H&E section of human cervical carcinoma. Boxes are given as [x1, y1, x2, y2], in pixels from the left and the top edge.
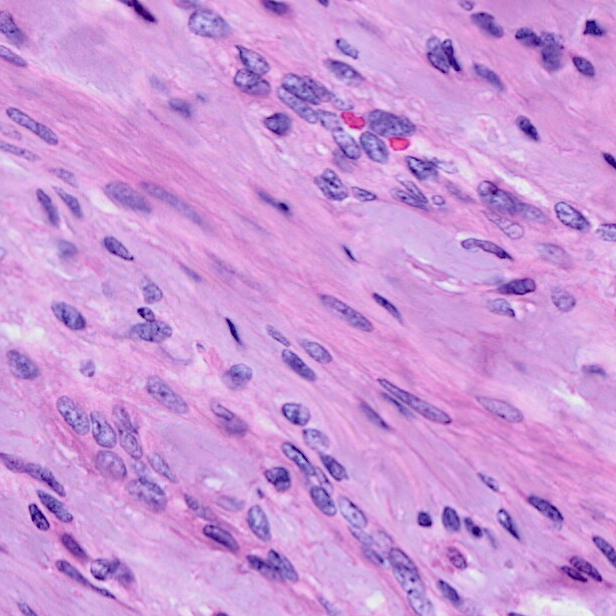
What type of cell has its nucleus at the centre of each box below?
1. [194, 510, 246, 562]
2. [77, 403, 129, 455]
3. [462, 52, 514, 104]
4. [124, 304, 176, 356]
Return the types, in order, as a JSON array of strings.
["endothelial cell", "endothelial cell", "fibroblast", "fibroblast"]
